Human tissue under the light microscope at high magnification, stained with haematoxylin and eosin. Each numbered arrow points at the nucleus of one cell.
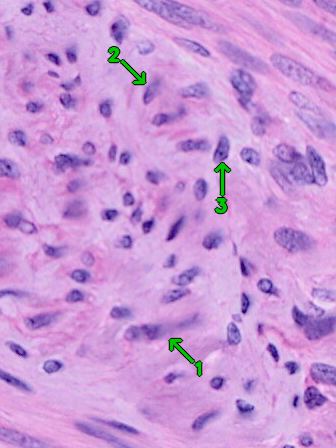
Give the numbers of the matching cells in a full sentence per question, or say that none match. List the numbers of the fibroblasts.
The cells referred to by numbers 1 and 3 are fibroblasts.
